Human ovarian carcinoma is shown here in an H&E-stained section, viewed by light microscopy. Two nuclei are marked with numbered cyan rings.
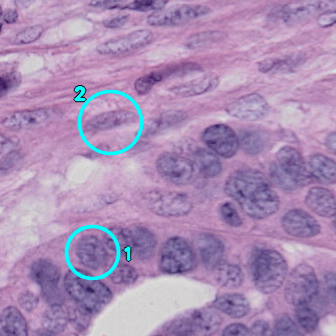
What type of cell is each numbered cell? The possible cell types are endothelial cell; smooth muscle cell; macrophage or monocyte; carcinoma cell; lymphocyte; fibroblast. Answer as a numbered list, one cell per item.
1. carcinoma cell
2. fibroblast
